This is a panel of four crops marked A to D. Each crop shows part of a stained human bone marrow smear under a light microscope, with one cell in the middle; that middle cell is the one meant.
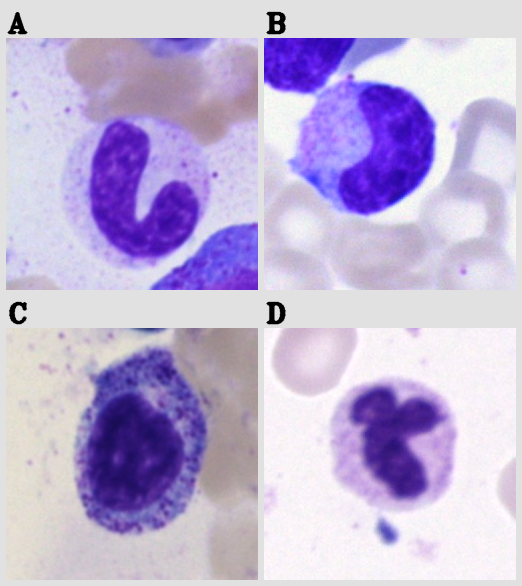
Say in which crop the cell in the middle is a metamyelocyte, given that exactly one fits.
B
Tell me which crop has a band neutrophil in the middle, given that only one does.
A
